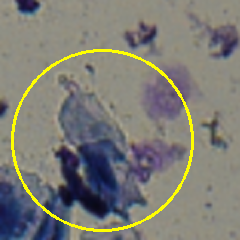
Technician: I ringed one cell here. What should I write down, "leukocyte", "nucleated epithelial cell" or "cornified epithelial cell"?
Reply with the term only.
cornified epithelial cell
